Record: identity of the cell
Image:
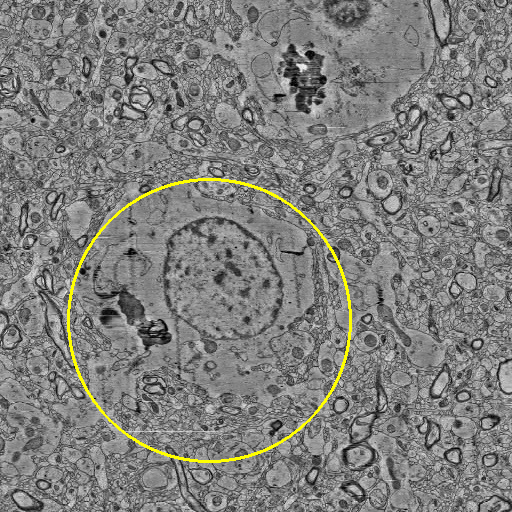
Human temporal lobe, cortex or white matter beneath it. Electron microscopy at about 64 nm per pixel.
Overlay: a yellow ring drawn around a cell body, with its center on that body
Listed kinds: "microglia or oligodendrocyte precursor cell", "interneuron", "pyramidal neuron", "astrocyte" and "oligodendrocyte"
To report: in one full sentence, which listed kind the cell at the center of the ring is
In the image, the cell body at the ring's center belongs to an astrocyte.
